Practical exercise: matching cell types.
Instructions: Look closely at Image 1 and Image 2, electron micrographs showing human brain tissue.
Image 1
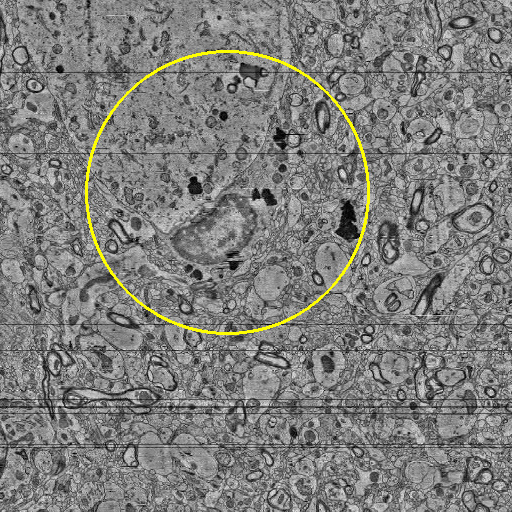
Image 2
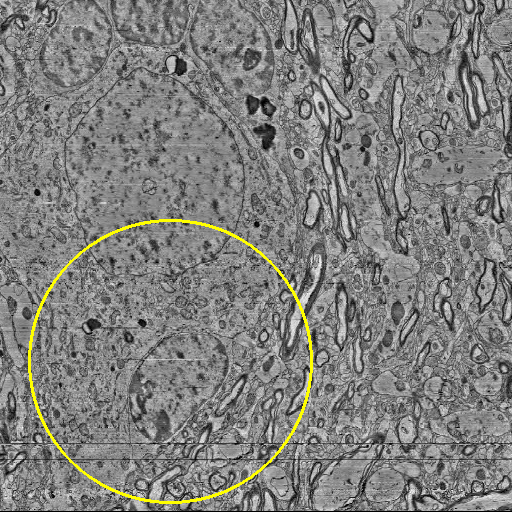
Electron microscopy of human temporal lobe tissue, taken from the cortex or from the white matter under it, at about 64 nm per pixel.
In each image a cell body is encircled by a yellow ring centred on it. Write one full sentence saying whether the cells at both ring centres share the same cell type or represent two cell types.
Across Image 1 and Image 2, the cells at the ring centres represent two cell types.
